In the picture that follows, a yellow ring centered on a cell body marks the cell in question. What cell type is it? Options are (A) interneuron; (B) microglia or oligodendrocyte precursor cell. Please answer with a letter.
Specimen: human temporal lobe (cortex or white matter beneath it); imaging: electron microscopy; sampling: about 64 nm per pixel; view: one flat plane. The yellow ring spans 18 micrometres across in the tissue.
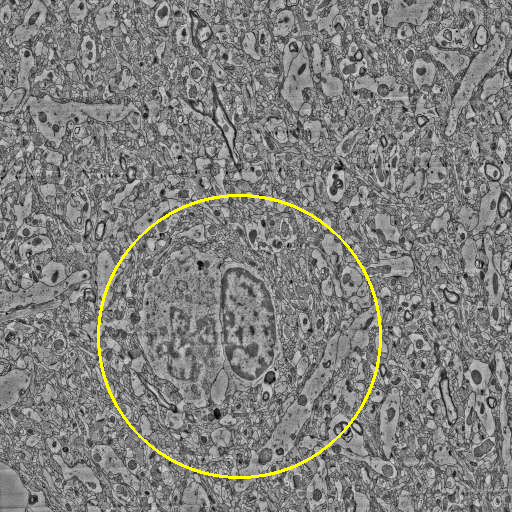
B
